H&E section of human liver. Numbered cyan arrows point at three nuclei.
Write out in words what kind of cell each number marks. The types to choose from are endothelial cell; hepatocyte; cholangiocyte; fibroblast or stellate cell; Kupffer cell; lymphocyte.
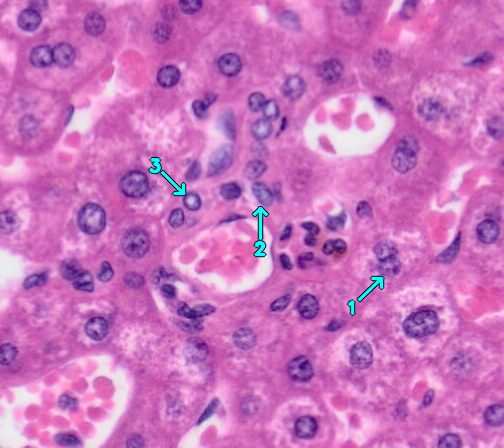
Cell 1 is a hepatocyte. Cells 2 and 3 are cholangiocytes.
